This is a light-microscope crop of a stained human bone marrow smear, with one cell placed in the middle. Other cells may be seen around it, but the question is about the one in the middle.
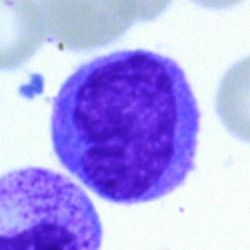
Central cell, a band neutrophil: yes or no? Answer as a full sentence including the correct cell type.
No, the central cell is not a band neutrophil, being instead a monocyte.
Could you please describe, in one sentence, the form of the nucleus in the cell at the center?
See how the nucleus sits as one compact round, oval or kidney-shaped mass.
